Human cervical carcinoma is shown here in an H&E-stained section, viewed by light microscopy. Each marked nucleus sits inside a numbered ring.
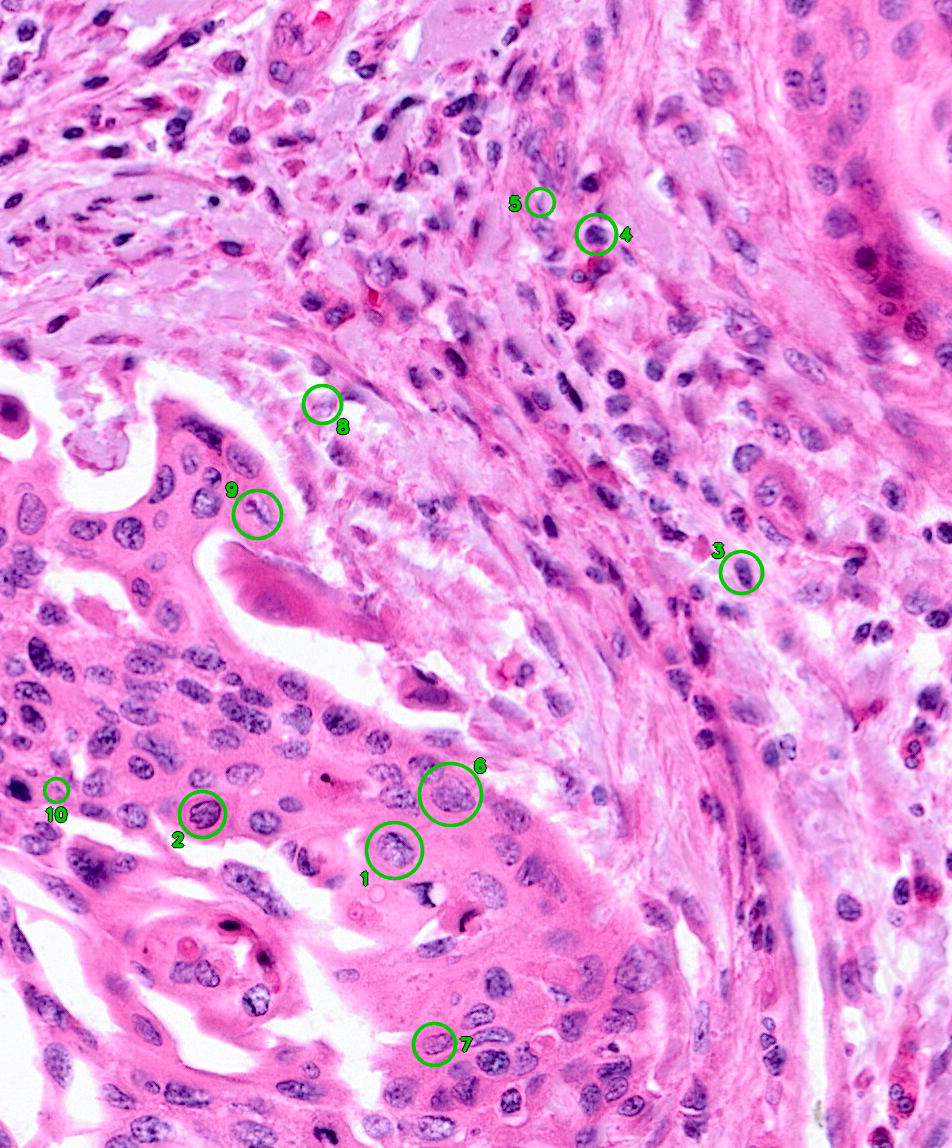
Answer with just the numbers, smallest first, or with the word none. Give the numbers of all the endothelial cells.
5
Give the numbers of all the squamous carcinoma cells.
1, 2, 6, 7, 9, 10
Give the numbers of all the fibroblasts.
8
